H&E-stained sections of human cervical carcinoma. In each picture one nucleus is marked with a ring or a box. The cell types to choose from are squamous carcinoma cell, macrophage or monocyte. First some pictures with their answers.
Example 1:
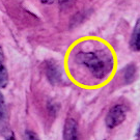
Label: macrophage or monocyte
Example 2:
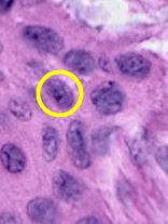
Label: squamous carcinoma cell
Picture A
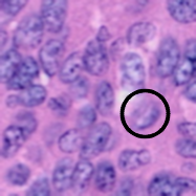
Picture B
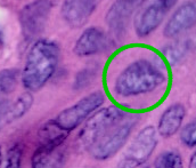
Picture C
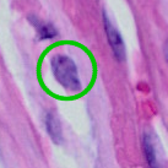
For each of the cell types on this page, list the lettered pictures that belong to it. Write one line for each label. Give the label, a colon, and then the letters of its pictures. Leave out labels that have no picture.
squamous carcinoma cell: A, B
macrophage or monocyte: C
